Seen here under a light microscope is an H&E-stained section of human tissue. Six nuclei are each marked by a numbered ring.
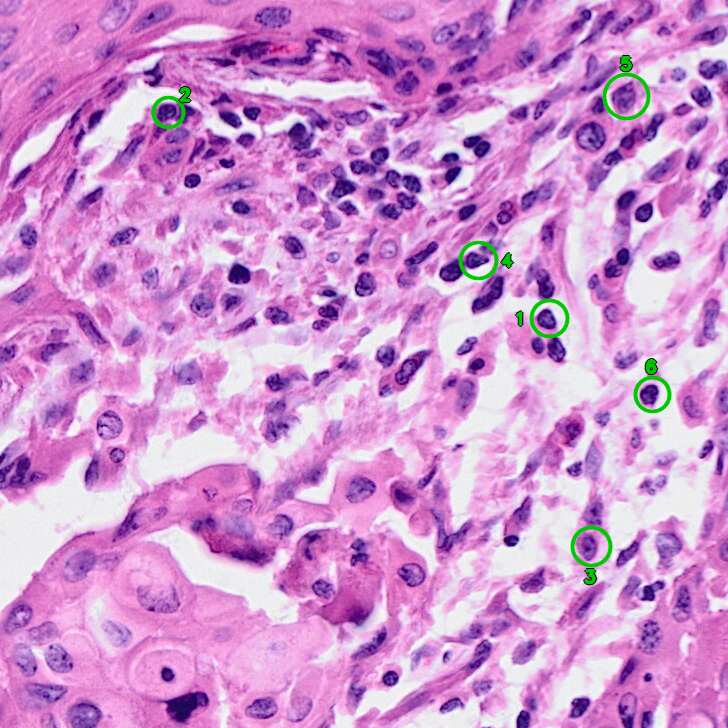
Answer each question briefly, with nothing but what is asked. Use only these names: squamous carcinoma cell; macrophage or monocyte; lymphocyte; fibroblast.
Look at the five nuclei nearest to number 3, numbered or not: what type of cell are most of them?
fibroblast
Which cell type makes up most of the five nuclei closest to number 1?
lymphocyte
